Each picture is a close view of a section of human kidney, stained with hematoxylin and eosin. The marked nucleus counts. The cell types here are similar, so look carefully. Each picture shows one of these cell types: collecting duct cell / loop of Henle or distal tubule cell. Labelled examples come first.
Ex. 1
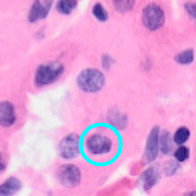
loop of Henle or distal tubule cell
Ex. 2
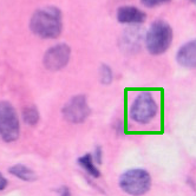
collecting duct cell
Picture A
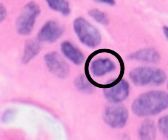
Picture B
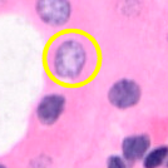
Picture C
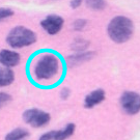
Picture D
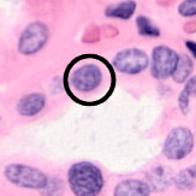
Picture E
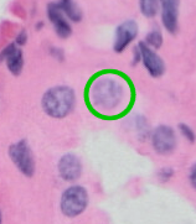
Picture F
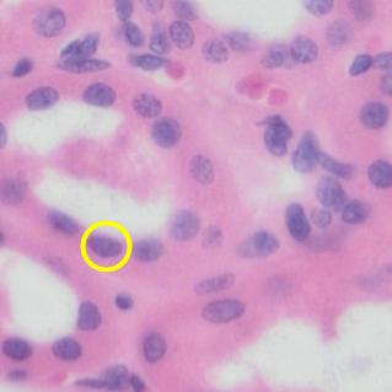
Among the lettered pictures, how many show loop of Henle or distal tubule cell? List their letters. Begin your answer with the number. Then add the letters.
2: B, F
